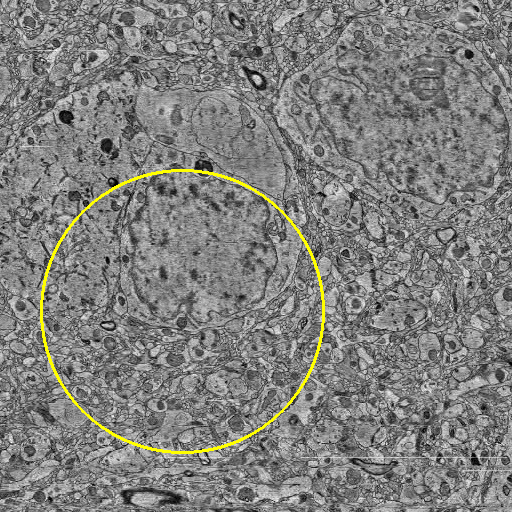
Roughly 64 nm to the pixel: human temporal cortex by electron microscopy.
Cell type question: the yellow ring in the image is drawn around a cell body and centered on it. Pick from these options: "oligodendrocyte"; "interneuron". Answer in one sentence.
The ringed cell at the center is an interneuron.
